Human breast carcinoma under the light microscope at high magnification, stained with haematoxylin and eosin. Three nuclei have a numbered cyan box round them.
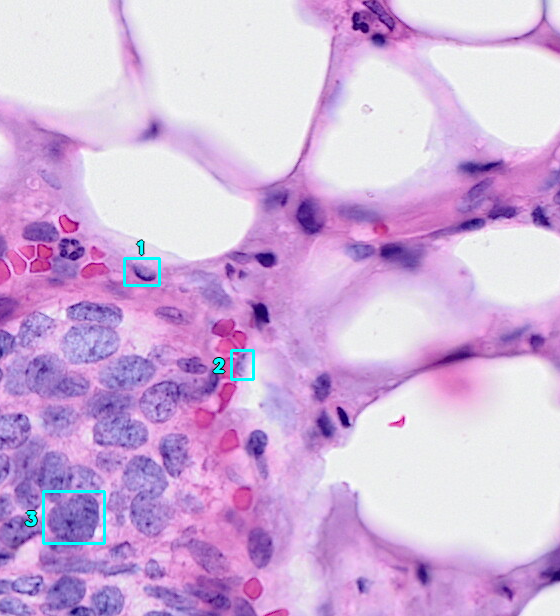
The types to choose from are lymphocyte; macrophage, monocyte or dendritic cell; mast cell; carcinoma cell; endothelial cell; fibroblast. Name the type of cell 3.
carcinoma cell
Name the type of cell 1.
endothelial cell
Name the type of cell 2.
endothelial cell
